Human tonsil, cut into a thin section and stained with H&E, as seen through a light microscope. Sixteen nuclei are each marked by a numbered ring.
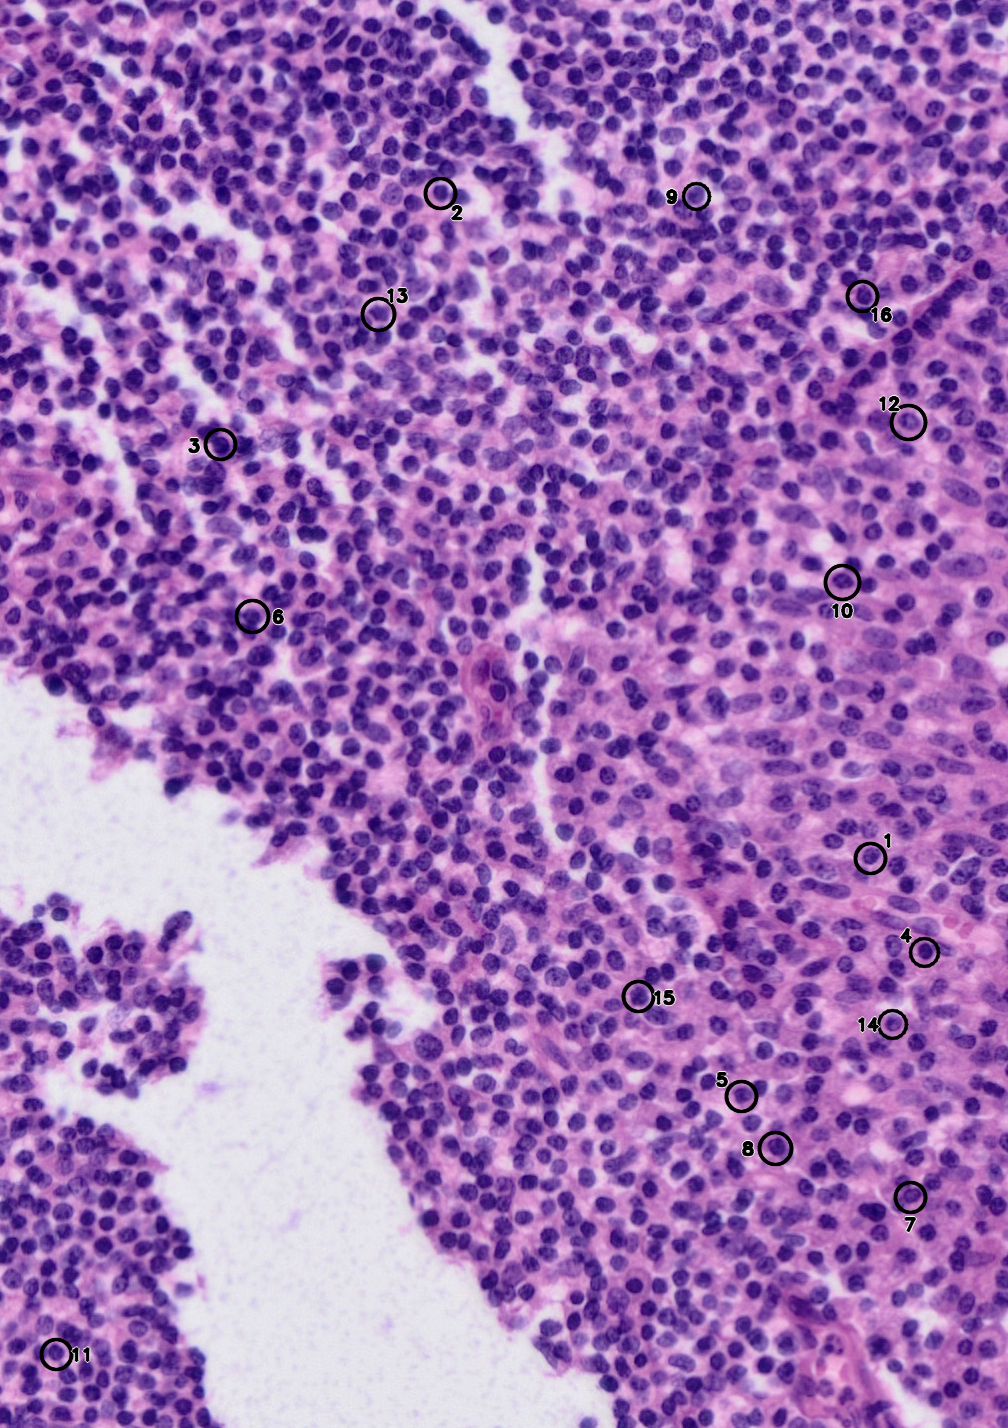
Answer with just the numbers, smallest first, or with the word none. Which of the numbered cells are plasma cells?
1, 4, 5, 7, 8, 10, 12, 14, 15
